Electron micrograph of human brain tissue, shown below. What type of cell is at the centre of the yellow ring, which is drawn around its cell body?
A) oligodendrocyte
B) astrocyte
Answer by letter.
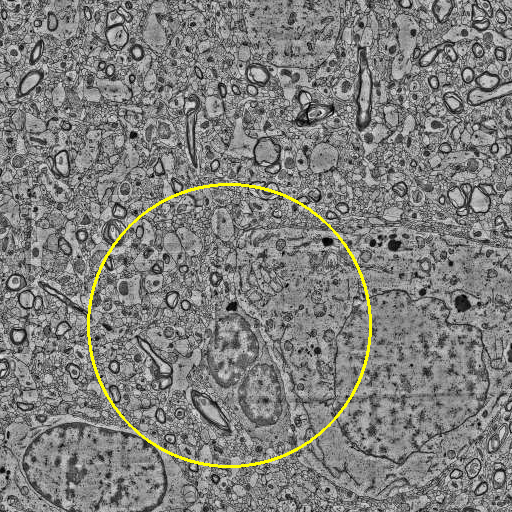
A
